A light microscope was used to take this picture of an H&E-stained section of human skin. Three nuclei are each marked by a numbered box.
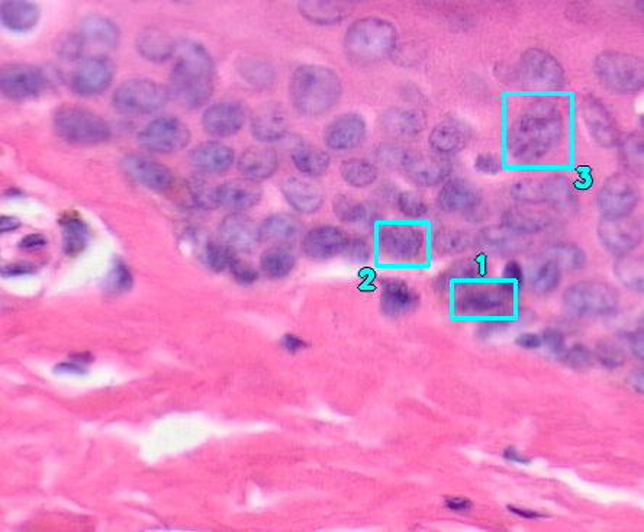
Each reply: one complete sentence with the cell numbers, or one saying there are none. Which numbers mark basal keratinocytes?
The cells which carry the numbers 1 and 2 are basal keratinocytes.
